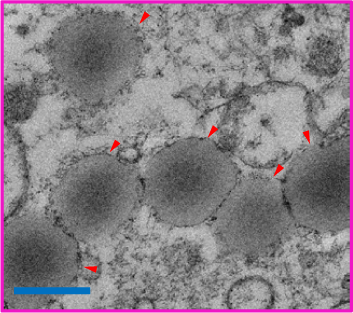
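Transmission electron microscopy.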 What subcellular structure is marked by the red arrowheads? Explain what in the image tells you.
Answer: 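Several large round homogeneous grey bodies without a membrane-bound inner structure. Red arrowheads sit at the rims of these round bodies. The answer: lipid droplets.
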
